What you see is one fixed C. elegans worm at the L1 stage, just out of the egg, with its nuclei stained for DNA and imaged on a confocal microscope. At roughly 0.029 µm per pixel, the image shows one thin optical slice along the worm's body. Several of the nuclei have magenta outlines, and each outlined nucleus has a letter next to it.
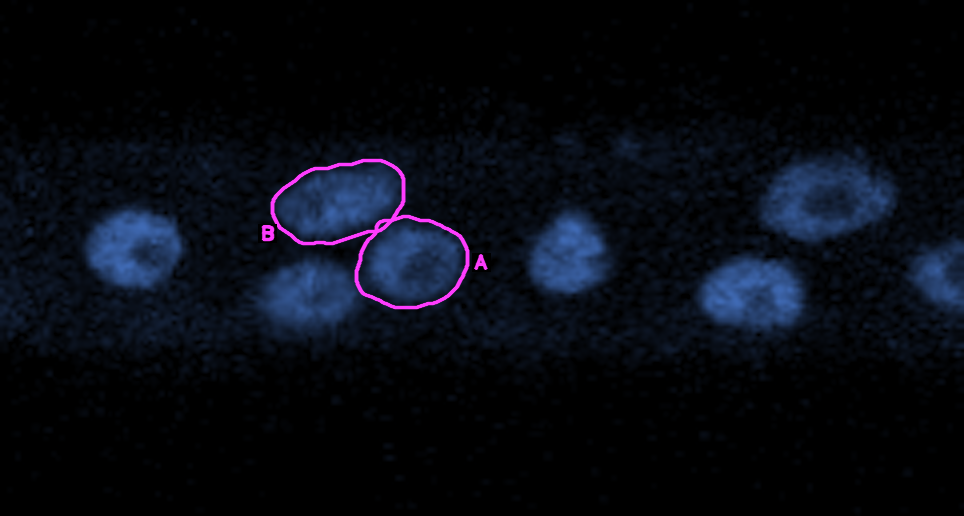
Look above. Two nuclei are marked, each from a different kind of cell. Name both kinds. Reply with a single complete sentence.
B belongs to a hypodermal cell (hyp), and A to a seam cell.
